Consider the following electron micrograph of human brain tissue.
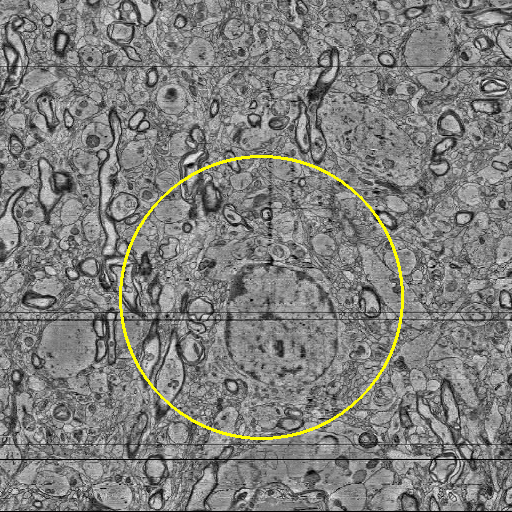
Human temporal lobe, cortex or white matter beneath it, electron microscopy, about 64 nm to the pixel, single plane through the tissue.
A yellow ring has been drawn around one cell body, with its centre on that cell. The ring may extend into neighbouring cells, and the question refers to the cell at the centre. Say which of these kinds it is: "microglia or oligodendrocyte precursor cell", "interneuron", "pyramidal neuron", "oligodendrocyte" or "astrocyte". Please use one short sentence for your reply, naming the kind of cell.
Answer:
The centre of the ring falls on a microglial cell or oligodendrocyte precursor cell.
